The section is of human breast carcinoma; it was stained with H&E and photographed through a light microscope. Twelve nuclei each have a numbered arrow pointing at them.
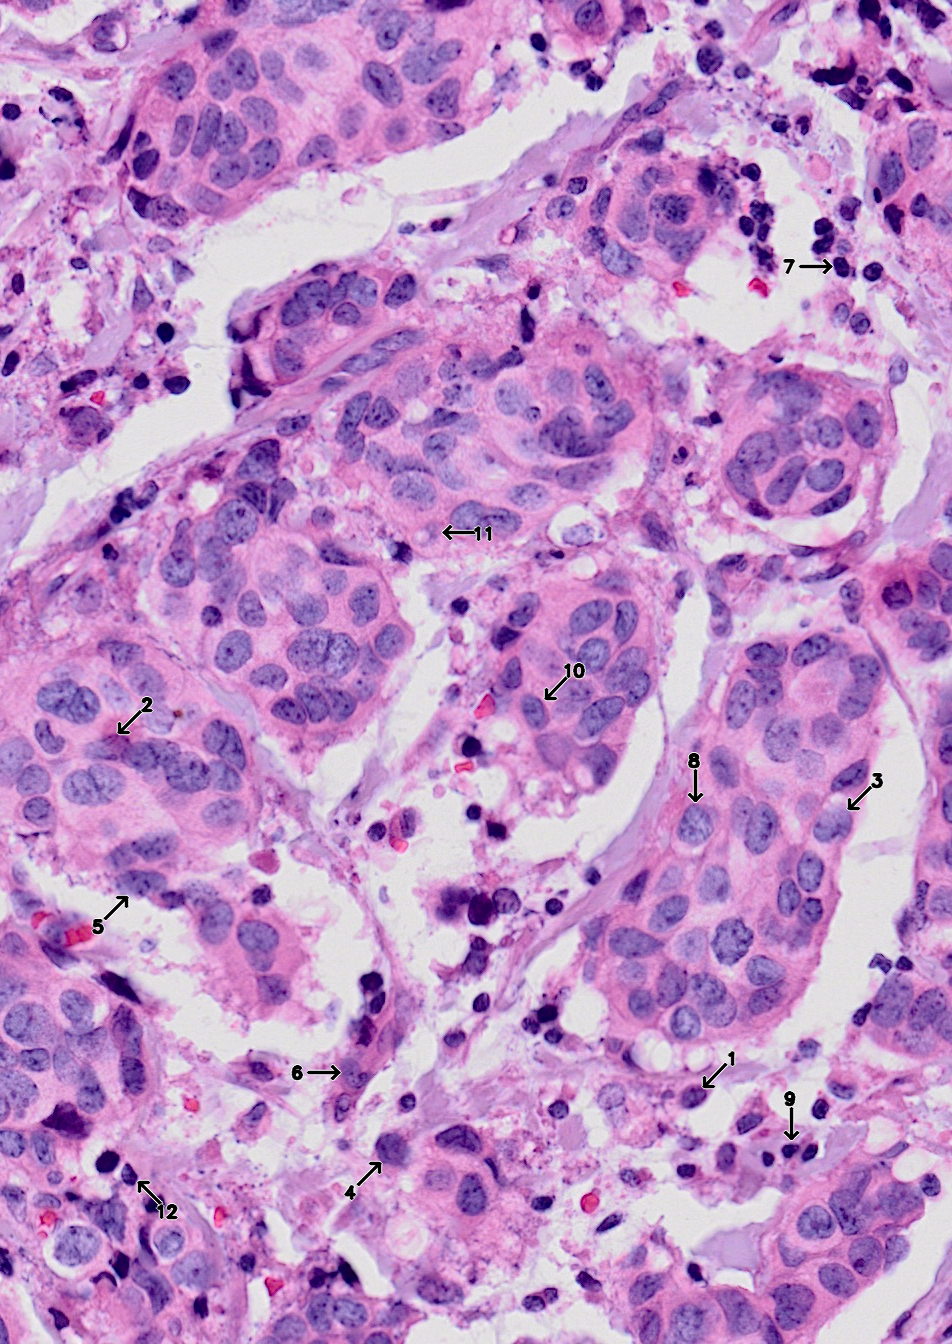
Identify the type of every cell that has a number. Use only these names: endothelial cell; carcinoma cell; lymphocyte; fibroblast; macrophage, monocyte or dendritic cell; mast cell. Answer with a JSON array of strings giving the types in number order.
["macrophage, monocyte or dendritic cell", "carcinoma cell", "carcinoma cell", "carcinoma cell", "carcinoma cell", "endothelial cell", "lymphocyte", "carcinoma cell", "lymphocyte", "carcinoma cell", "carcinoma cell", "lymphocyte"]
